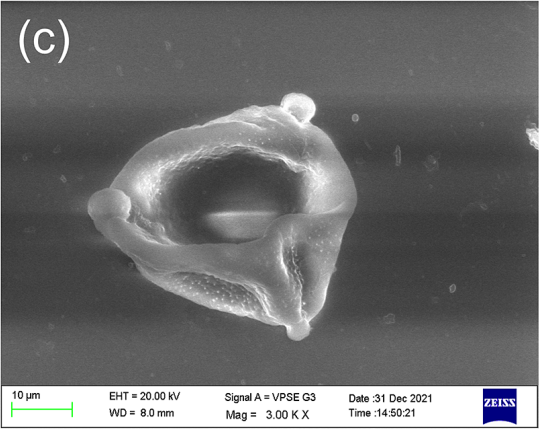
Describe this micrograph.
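This is a single pollen grain seen by scanning electron microscopy, lying on a smooth substrate. It is triangular in outline, with a rounded protrusion at each of its three corners, marking three apertures. The outer wall shows surface texture, with fine granules and furrows running along the sides. The grain is roughly three to four times the length of the 10 µm scale bar.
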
